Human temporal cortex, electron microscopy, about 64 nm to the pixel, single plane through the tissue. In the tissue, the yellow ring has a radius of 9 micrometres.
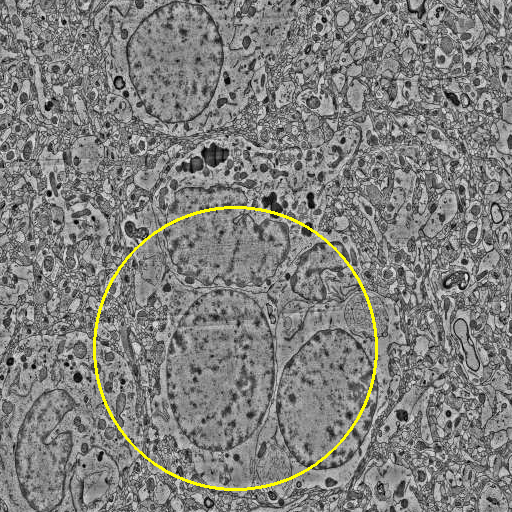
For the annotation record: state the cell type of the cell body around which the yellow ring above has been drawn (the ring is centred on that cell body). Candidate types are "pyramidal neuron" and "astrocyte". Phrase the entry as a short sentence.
The ringed cell is an astrocyte.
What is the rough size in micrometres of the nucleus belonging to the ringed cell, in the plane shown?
In this plane the nucleus measures roughly 10 by 7 micrometres.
